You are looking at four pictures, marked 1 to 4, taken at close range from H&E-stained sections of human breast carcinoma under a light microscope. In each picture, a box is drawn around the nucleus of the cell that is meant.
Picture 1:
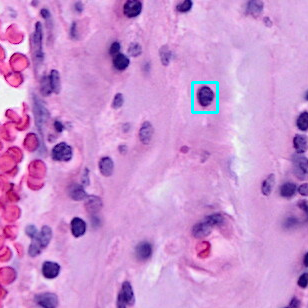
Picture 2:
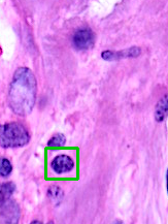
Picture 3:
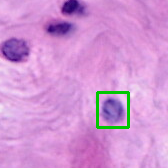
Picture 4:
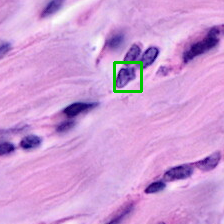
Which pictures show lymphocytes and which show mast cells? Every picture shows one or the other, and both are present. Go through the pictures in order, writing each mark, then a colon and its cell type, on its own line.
1: lymphocyte
2: lymphocyte
3: mast cell
4: lymphocyte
